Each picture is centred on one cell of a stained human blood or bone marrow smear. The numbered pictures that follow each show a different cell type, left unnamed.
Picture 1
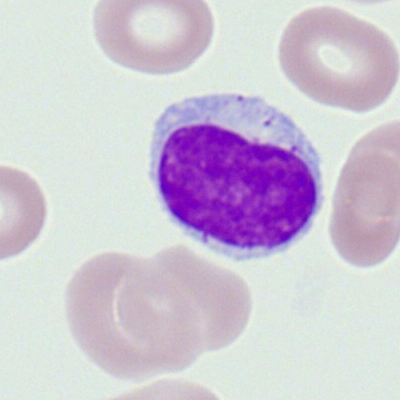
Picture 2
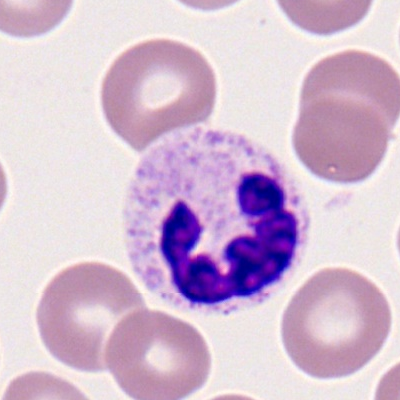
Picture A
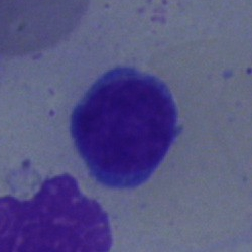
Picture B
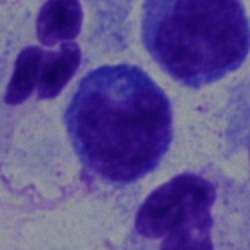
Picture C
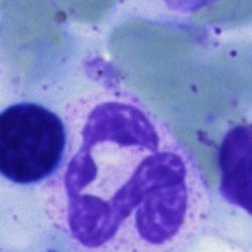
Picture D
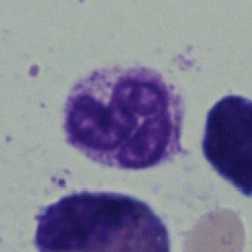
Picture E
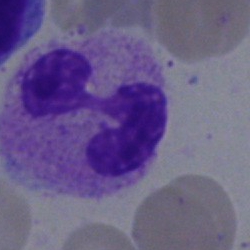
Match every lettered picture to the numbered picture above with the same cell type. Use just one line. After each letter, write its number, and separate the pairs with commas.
A 1, B 1, C 2, D 2, E 2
